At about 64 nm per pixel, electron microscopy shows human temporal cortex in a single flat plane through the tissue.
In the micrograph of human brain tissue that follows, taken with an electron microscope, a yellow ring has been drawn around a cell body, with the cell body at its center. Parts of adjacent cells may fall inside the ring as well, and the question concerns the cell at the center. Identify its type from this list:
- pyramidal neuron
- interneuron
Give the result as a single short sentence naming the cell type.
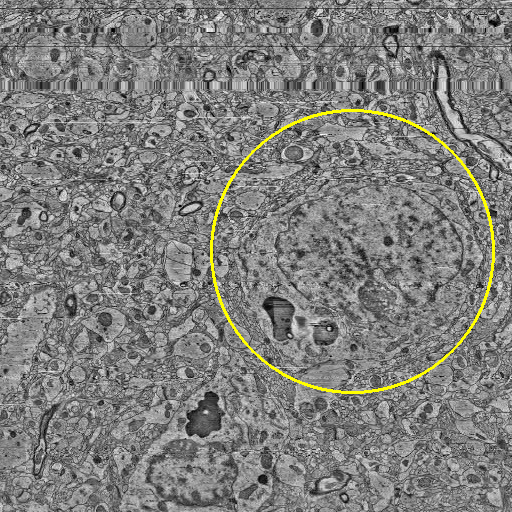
The ring is centered on an interneuron.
